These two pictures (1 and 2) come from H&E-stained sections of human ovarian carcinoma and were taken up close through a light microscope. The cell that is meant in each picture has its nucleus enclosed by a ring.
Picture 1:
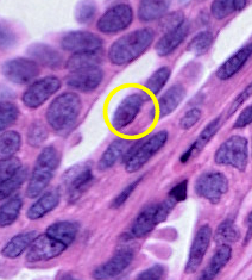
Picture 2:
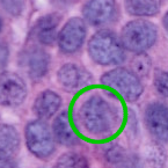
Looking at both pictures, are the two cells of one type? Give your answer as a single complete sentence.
Yes; the cells in both pictures are carcinoma cells.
